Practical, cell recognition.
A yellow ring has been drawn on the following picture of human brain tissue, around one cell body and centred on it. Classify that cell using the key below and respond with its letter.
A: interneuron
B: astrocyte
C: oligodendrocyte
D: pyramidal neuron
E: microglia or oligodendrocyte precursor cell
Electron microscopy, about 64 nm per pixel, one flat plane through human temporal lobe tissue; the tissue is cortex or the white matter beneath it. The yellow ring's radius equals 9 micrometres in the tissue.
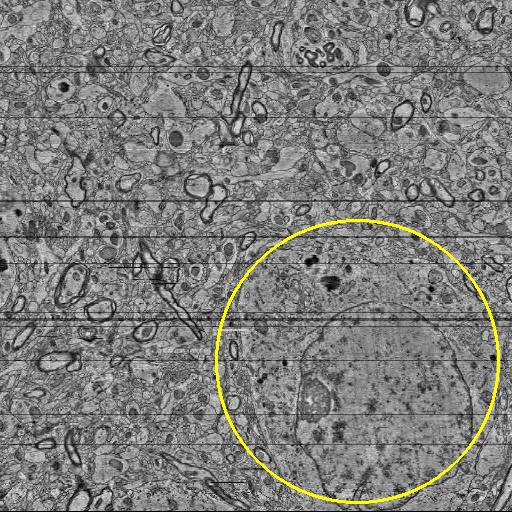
D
